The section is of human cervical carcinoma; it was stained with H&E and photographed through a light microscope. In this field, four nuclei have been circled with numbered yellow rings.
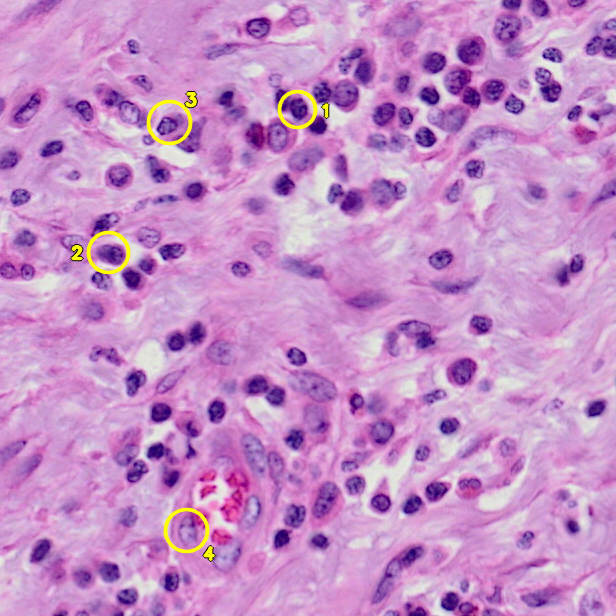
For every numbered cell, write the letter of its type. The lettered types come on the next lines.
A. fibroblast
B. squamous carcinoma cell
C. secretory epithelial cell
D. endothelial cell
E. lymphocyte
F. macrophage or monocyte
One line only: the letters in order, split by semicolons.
E; E; E; D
